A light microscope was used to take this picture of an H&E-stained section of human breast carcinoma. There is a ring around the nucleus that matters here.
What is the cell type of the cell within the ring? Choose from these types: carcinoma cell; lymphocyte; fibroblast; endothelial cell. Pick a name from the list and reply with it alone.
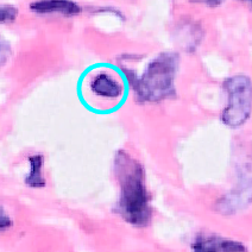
lymphocyte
